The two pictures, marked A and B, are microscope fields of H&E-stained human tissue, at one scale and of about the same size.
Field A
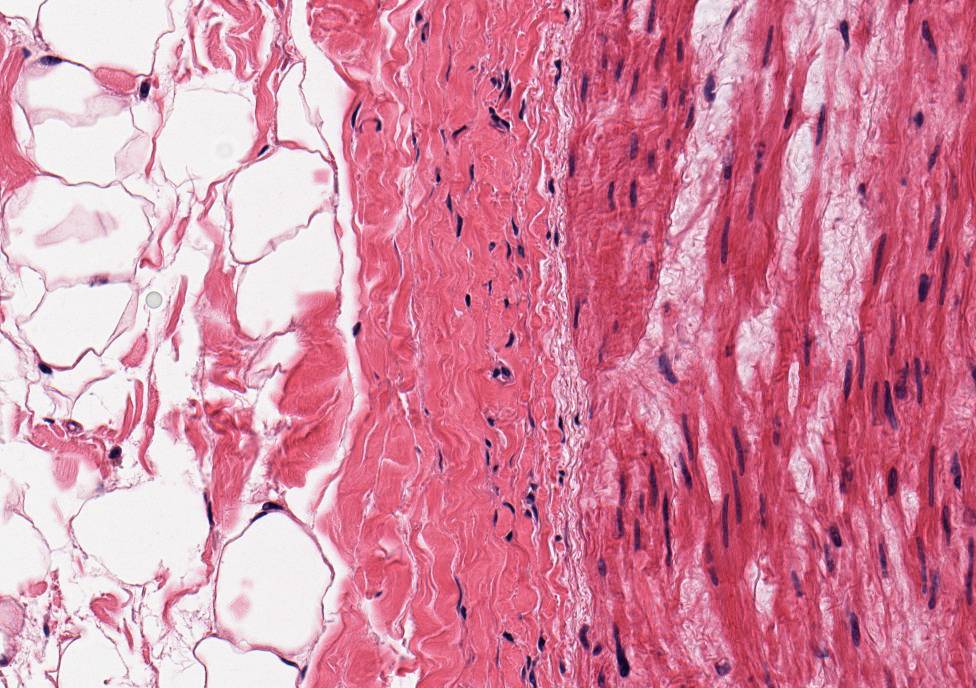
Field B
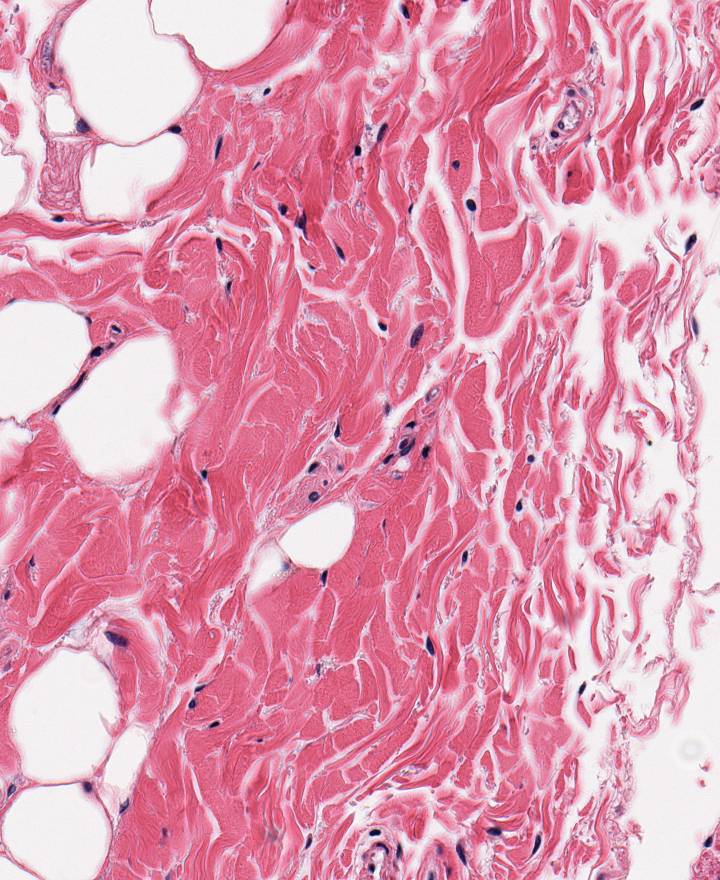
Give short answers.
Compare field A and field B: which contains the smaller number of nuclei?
B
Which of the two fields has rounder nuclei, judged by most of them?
B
